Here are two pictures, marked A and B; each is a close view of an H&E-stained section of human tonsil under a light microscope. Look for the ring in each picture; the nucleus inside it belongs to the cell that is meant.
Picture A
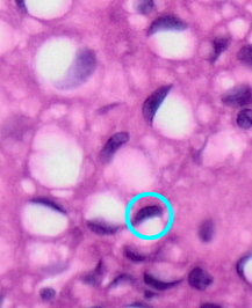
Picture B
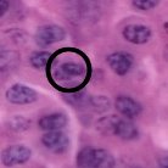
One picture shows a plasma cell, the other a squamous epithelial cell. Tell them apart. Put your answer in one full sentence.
In picture A the cell is a squamous epithelial cell; in picture B, a plasma cell.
